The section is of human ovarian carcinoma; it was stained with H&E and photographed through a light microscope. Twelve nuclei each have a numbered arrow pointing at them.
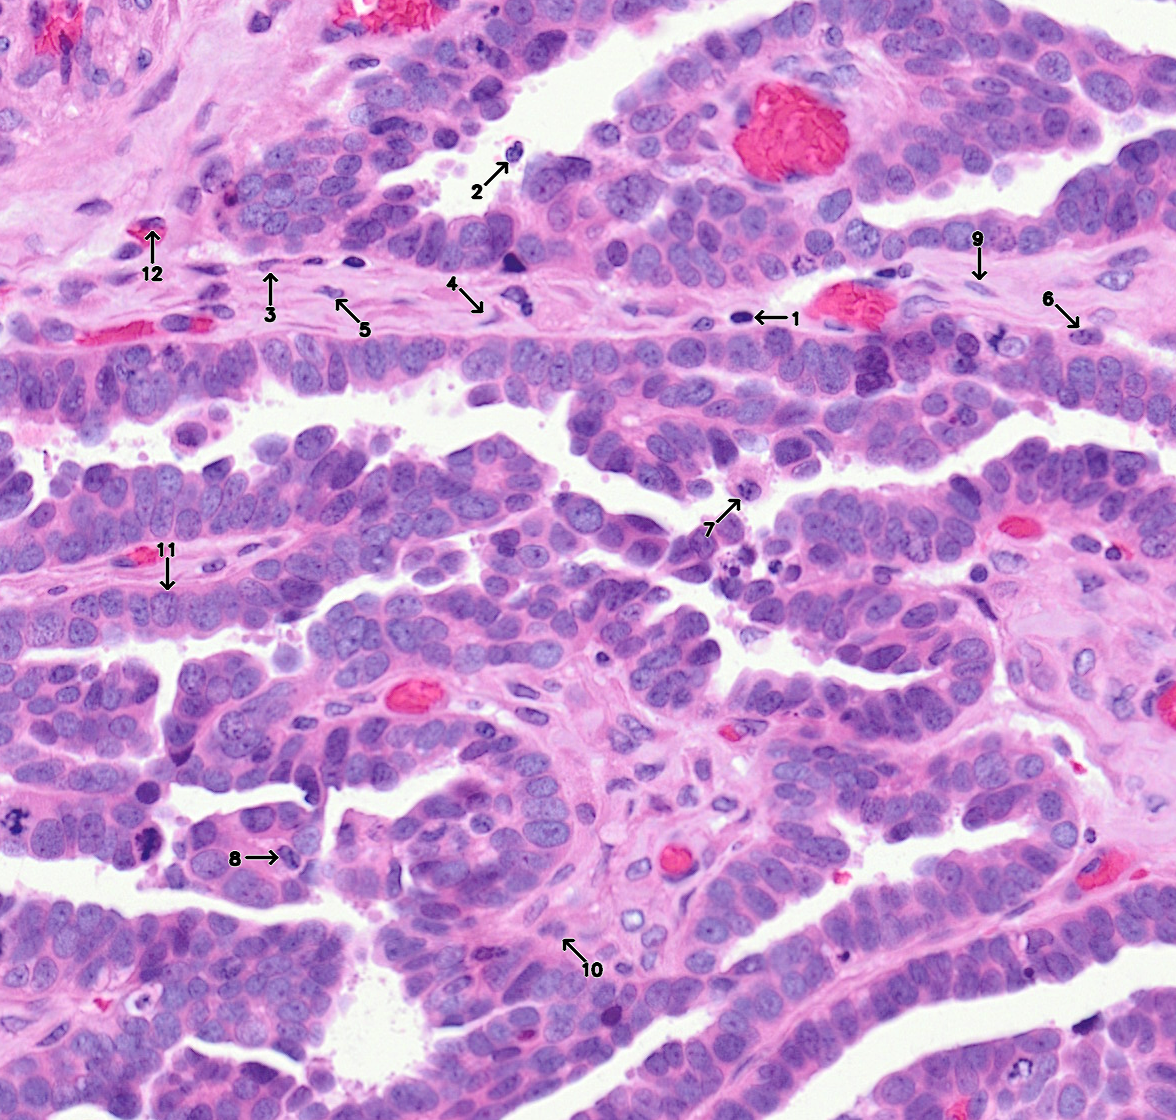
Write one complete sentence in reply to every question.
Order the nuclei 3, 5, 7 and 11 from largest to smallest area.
The nuclei rank 11, 7, 5, 3, from largest to smallest.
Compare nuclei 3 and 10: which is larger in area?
Nucleus 10 is larger, with an area about 2.5 times that of nucleus 3.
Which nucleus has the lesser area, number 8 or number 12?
With nucleus 8 about 1.5 times its size, nucleus 12 is the smaller of the two.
